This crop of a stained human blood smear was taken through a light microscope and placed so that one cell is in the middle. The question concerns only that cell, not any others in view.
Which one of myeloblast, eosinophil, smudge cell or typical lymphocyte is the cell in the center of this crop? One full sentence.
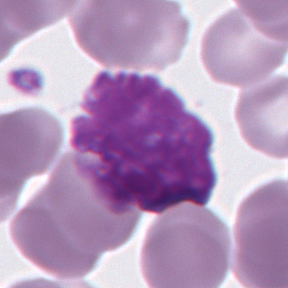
In short, the cell at the center is a smudge cell.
